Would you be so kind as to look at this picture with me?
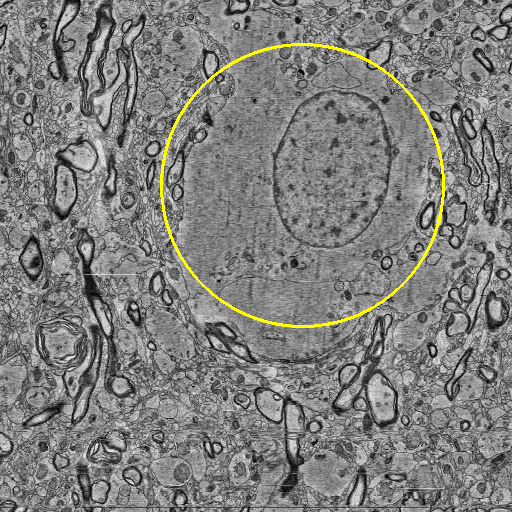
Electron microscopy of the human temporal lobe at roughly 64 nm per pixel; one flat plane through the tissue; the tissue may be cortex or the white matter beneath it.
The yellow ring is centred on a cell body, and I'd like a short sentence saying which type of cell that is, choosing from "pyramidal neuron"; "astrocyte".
The cell body in the ring belongs to an astrocyte.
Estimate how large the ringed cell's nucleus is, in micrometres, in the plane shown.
Roughly 10 by 7 micrometres in this plane, for the nucleus of the ringed cell.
